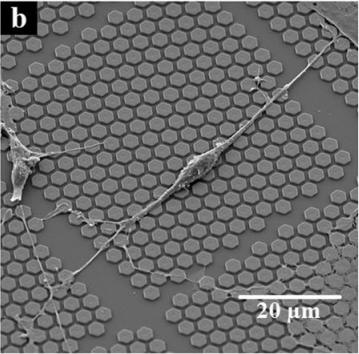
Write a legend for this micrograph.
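This scanning electron micrograph shows a bipolar neuron lying on a surface patterned with hexagonal pillar fields separated by flat bands. The cell body is elongated and spindle-shaped, lying near the centre over a pillar field. Two long, thin neurites leave the cell body from its opposite ends and run in nearly straight lines across the surface. The neurites pass over both the pillared regions and the flat bands between them.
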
